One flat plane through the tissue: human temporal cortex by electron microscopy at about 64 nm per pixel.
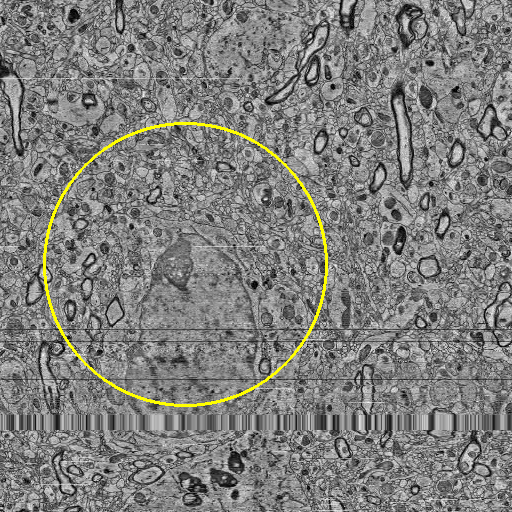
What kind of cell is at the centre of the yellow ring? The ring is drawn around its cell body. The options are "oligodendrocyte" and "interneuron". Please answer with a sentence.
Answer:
The yellow ring marks the cell body of an interneuron.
